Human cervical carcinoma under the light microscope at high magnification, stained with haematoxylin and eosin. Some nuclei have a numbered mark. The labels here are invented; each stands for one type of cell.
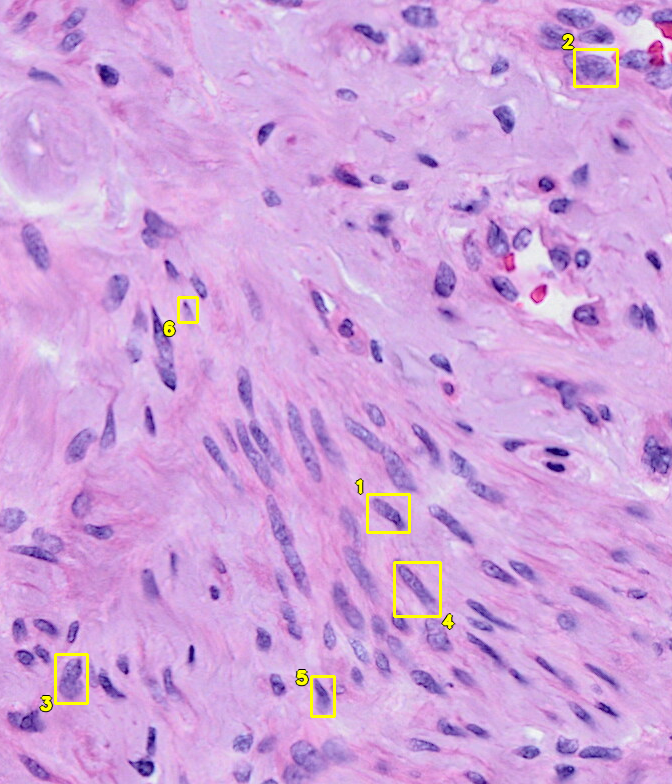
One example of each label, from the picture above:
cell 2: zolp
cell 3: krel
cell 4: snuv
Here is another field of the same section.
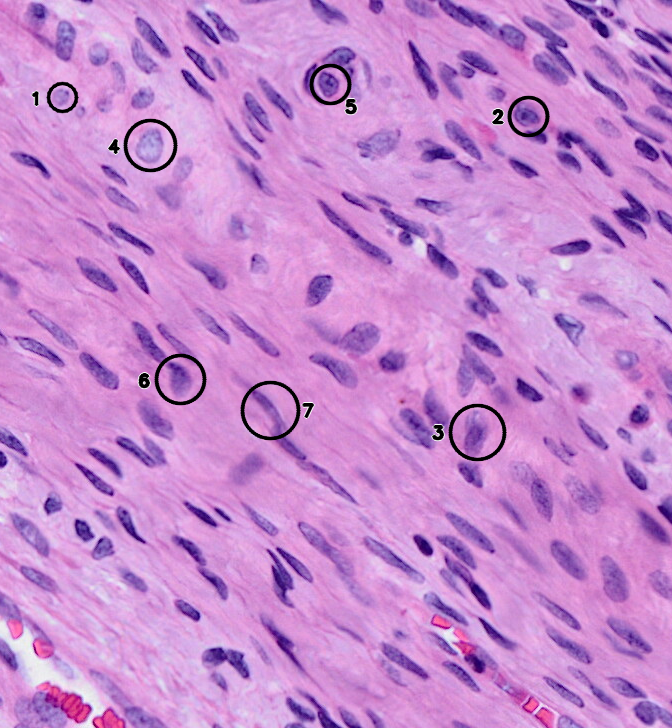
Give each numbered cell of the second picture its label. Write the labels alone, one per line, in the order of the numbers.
snuv
zolp
krel
snuv
zolp
krel
krel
